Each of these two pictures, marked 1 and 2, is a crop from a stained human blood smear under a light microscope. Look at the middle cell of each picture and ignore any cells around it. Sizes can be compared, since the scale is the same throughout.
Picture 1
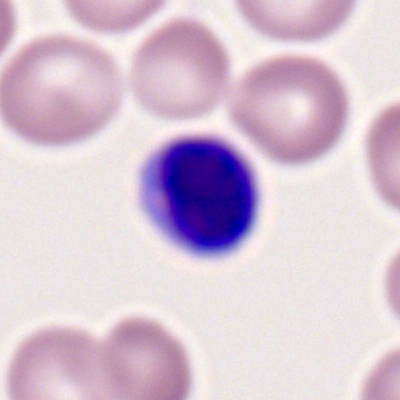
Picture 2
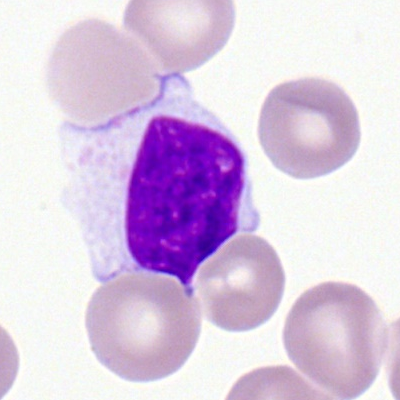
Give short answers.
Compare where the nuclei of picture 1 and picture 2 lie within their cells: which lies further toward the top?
2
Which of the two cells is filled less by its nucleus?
2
